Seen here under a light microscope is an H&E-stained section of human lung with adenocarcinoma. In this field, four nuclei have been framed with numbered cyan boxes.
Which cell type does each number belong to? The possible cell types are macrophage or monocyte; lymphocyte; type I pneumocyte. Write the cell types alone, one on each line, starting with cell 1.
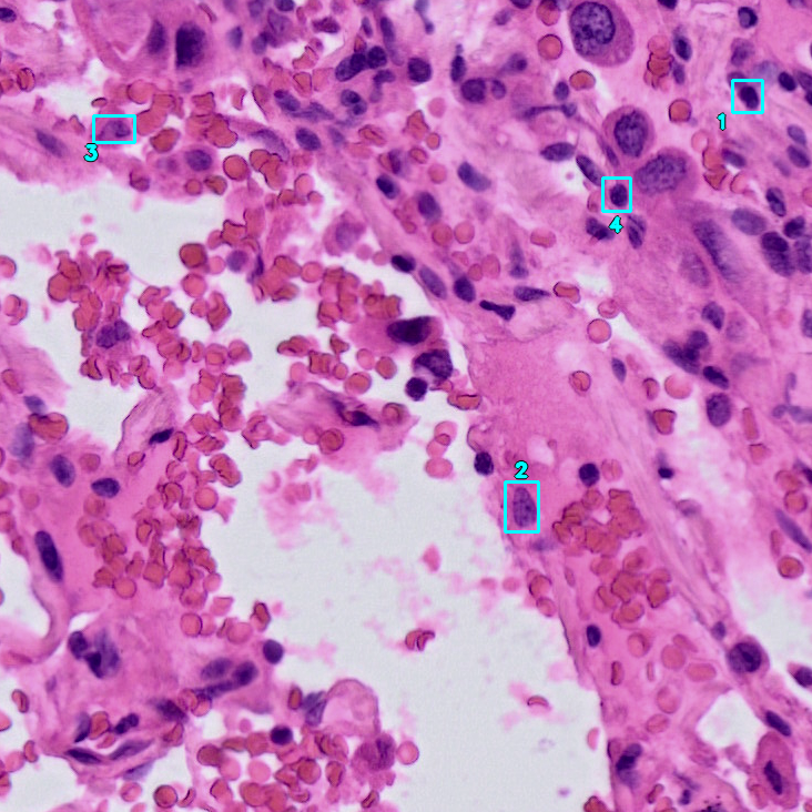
lymphocyte
type I pneumocyte
macrophage or monocyte
lymphocyte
